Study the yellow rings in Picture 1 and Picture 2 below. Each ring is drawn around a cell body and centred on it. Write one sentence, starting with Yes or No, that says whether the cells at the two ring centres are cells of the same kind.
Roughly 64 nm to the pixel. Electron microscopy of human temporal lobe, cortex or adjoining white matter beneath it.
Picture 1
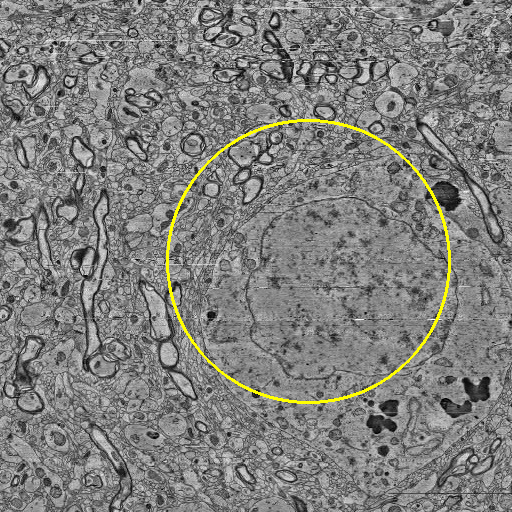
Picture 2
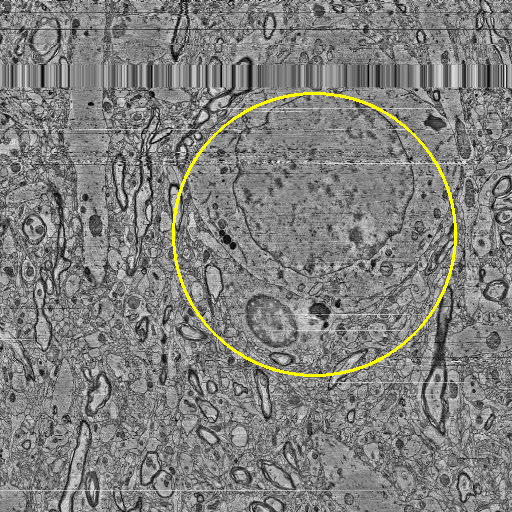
Yes, the cells at both ring centres are of the same kind.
